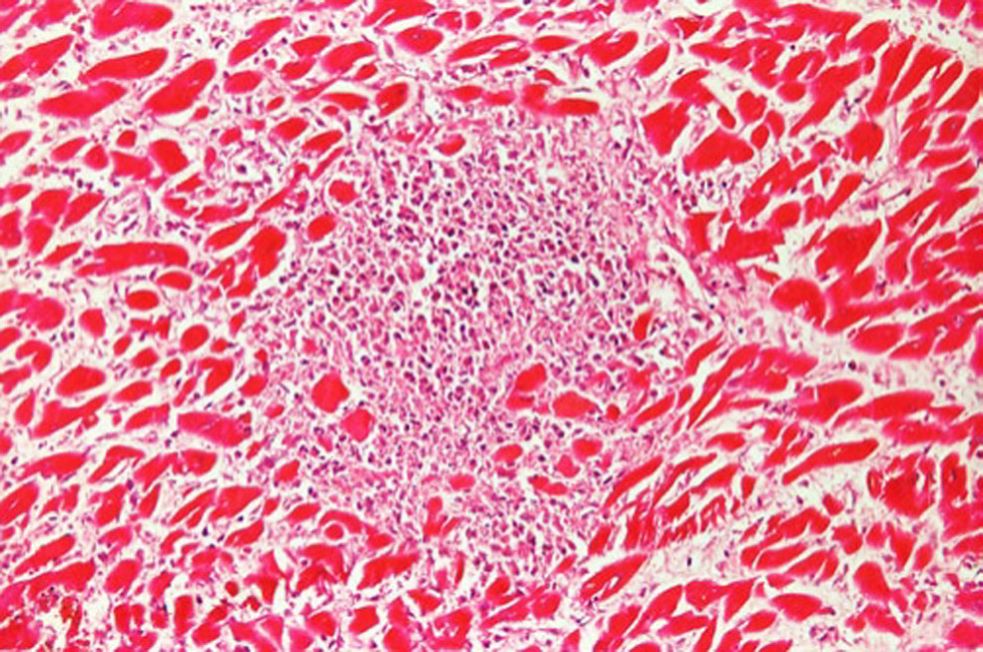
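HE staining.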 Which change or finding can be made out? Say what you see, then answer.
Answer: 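Necroses. The central area is filled with densely packed cells with purple nuclei instead of muscle. A few isolated red muscle fragments remain within the central area.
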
